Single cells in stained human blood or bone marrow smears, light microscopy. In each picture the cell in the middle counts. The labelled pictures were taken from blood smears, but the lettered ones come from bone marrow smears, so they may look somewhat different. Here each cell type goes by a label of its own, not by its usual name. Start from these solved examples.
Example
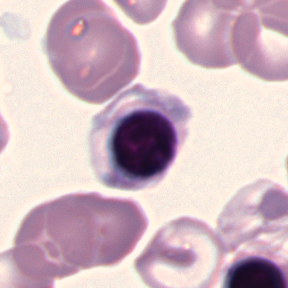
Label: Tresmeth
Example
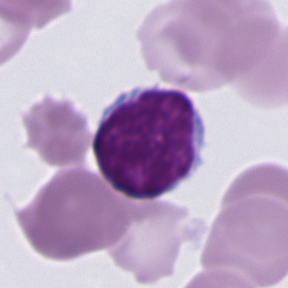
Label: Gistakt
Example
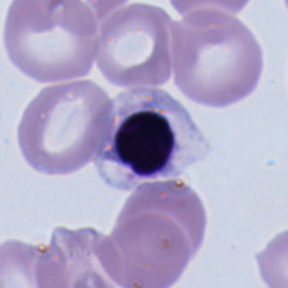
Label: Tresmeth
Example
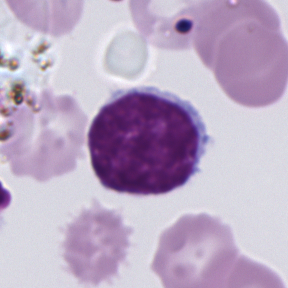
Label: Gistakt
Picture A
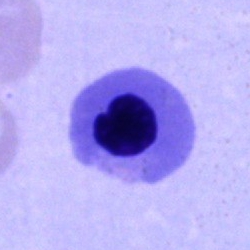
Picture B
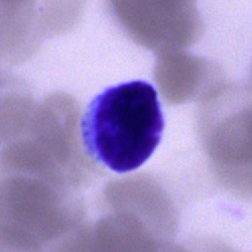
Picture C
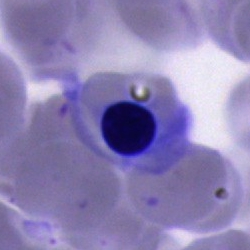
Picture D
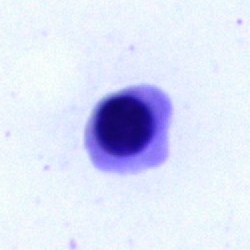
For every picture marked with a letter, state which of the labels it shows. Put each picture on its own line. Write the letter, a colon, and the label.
A: Tresmeth
B: Gistakt
C: Tresmeth
D: Tresmeth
